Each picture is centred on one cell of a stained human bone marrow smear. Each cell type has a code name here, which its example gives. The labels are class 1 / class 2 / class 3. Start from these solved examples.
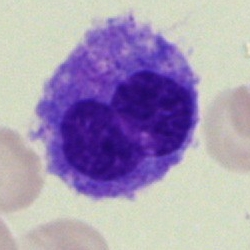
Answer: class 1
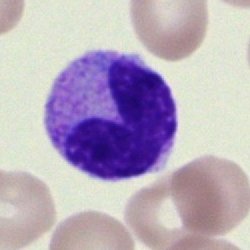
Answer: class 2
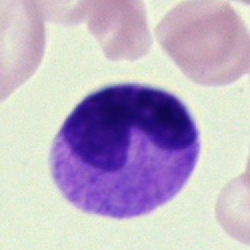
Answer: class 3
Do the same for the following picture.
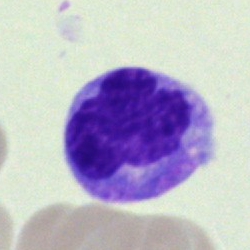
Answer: class 1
